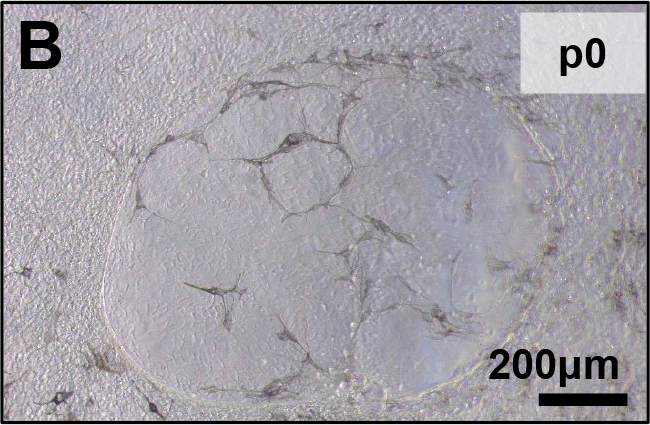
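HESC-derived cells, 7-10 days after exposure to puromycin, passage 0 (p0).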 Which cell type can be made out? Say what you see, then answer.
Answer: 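Pigmented and dendritic cells. Dark, pigmented cells with several branching processes. These cells are scattered over a pale round colony.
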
